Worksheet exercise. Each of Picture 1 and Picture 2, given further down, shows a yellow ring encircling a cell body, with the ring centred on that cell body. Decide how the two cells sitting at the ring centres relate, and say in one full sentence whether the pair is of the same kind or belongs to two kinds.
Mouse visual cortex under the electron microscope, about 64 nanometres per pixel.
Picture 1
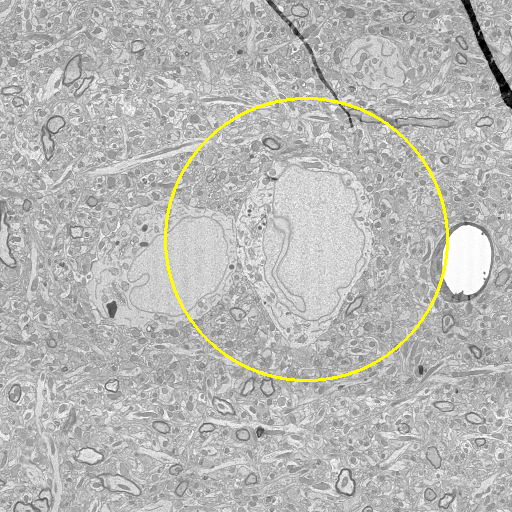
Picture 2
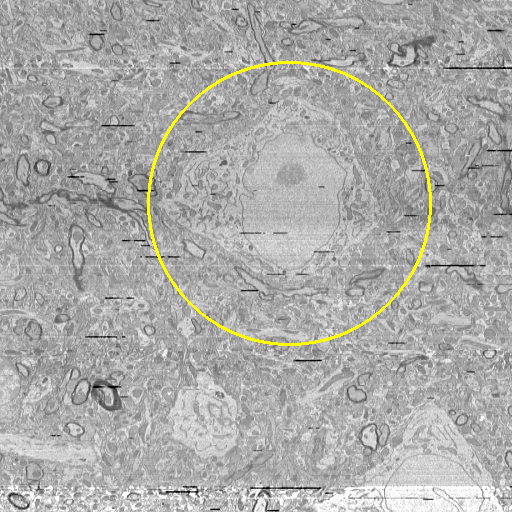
The cells at the ring centres in Picture 1 and Picture 2 are of the same kind.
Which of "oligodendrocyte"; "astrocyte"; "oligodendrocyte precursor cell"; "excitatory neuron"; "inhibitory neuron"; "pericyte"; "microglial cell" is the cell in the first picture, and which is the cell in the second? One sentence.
Each cell, in the first picture and the second, is an inhibitory neuron.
